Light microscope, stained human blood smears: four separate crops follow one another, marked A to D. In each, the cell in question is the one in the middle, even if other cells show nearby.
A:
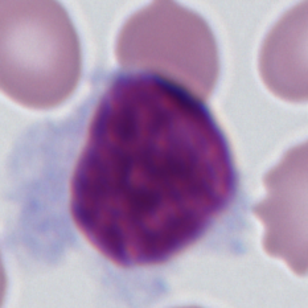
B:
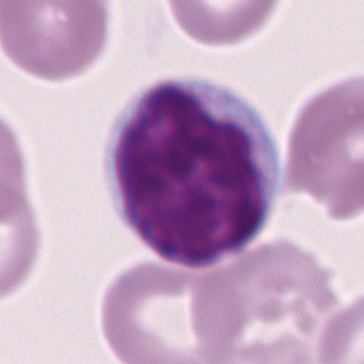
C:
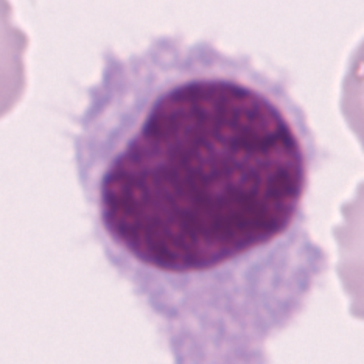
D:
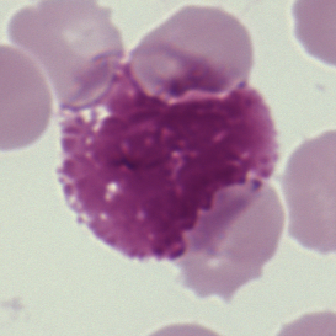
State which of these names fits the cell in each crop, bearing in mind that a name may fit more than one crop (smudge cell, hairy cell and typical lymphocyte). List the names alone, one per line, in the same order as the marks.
hairy cell
typical lymphocyte
hairy cell
smudge cell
